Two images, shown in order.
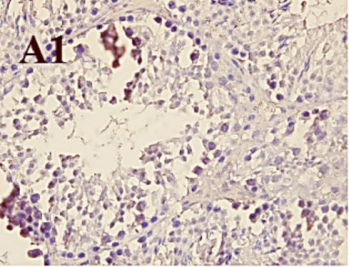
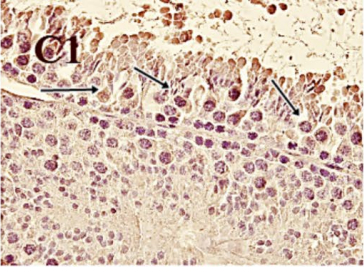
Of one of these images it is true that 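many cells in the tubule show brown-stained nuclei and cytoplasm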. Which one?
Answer: the second image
